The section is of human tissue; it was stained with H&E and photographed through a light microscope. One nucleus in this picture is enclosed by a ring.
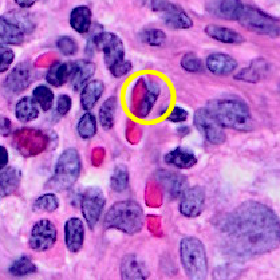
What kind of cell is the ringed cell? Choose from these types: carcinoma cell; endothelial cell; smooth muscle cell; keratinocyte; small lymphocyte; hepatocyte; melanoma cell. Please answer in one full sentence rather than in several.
Placed in its cell category, the ringed cell is an endothelial cell.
